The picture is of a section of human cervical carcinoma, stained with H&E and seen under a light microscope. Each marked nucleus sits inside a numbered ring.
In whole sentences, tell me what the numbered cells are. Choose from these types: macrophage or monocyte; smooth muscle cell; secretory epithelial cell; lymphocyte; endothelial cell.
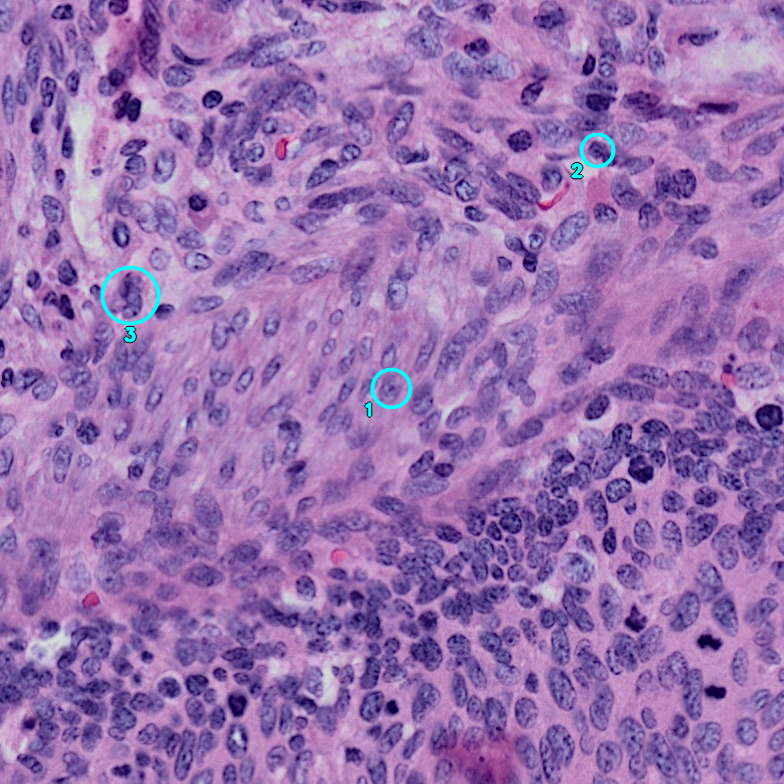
Cell 1 is a smooth muscle cell, cell 2 is a lymphocyte and cell 3 is an endothelial cell.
